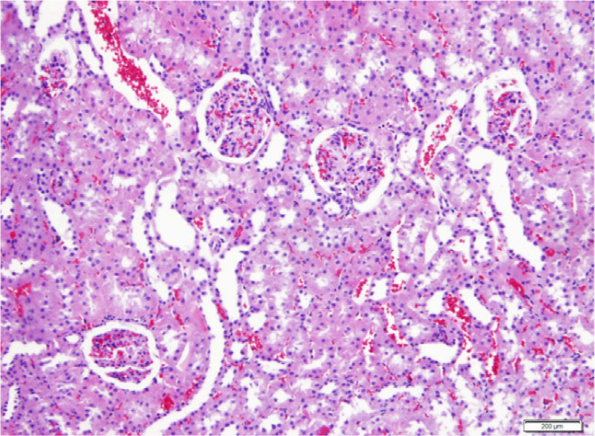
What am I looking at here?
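This is kidney cortex with its usual architecture. Several round glomeruli are visible, each a tuft of capillaries with purple nuclei, separated from the surrounding capsule by a thin clear space. Around them, tubules are packed closely together, lined by cells with plentiful bright pink cytoplasm and round purple nuclei. The interstitium between tubules is very narrow. Blood vessels and capillaries filled with red blood cells run between the tubules, and a larger vessel crosses the upper left. No dense clusters of small dark nuclei are seen between the tubules.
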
